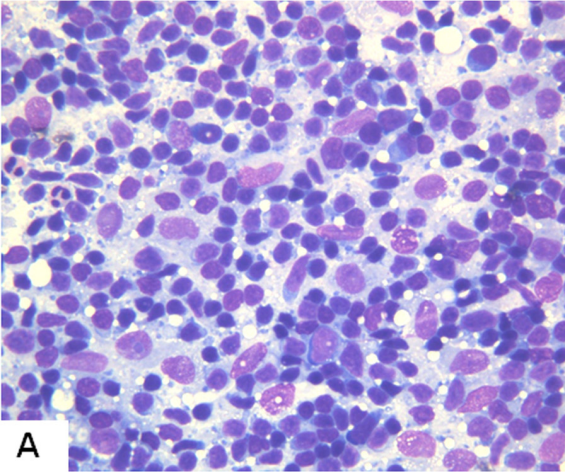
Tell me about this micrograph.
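The small lymphocytes are round, with dense dark purple nuclei and only a thin rim of blue cytoplasm. Among them lie larger cells with oval or bean-shaped nuclei whose chromatin is paler and pink-purple, the histiocytes. The cells lie singly on a pale bluish background dotted with small clear vacuoles. No cohesive clusters are formed.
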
